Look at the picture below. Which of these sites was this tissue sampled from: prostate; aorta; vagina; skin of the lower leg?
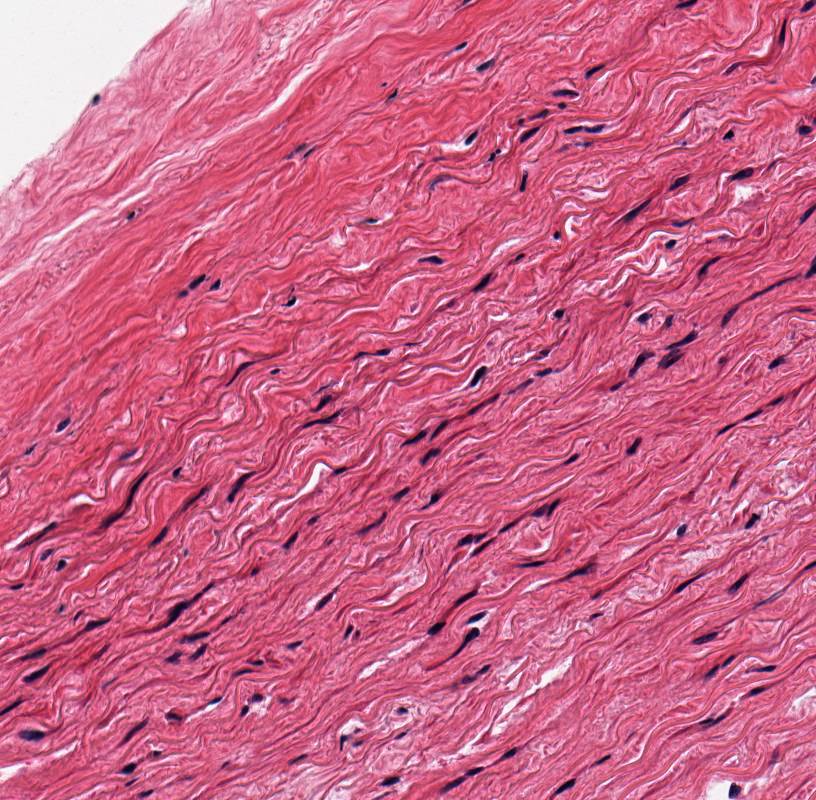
aorta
